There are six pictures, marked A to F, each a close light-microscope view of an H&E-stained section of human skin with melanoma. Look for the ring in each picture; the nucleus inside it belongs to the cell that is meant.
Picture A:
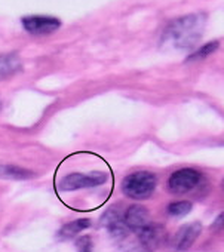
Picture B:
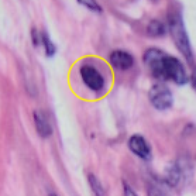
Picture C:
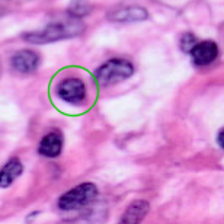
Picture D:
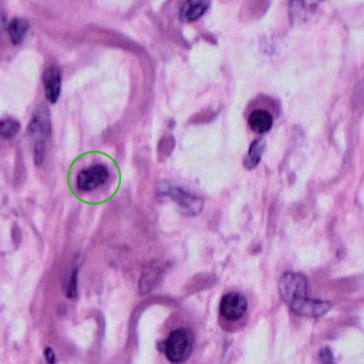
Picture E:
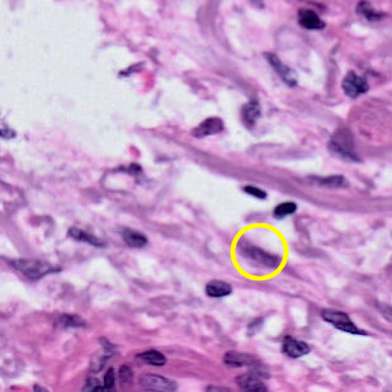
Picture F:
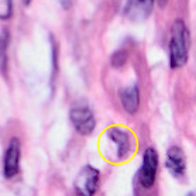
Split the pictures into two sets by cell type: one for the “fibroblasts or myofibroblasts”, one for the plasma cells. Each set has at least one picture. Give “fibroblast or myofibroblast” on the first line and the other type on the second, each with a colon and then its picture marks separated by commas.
fibroblast or myofibroblast: A, E, F
plasma cell: B, C, D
